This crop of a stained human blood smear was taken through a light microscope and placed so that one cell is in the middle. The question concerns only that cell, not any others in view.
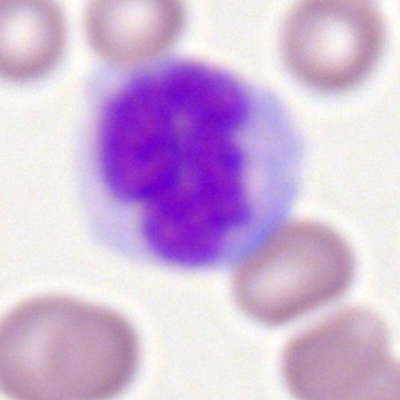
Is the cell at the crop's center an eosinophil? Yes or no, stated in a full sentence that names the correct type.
No; rather than an eosinophil, the cell at the center is a monocyte.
